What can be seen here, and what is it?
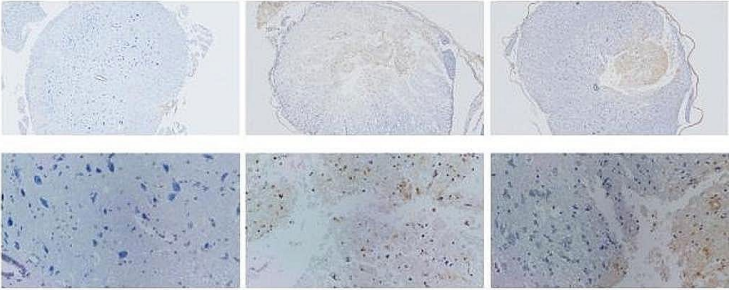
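These are sections of spinal cord shown at low and higher magnification, with nervous tissue and its scattered cells. At low magnification each section is a rounded cross-section bounded by a thin membrane, with a pale blue tissue background and, in some sections, a brownish region. At higher magnification the tissue is a pale fibrous background in which nuclei are scattered. In some fields the nuclei are blue and larger, irregular cell bodies stand out. In other fields many small dark brown dots lie among the cells, marking labelled nuclei, and the background takes a faint brown tinge.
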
